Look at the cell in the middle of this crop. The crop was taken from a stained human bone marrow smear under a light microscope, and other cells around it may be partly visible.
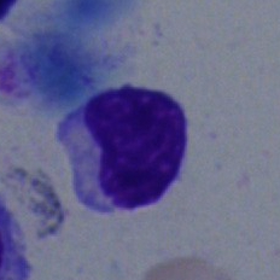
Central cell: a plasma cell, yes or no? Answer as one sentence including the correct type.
No, the central cell is reported as a lymphocyte rather than as a plasma cell.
